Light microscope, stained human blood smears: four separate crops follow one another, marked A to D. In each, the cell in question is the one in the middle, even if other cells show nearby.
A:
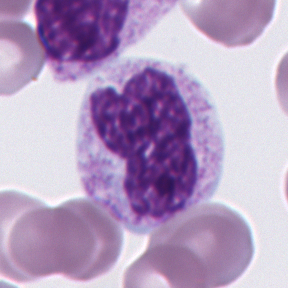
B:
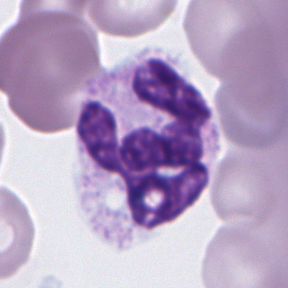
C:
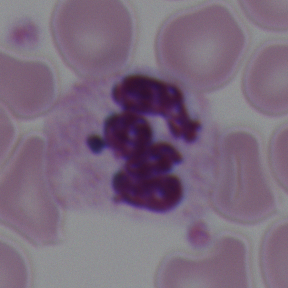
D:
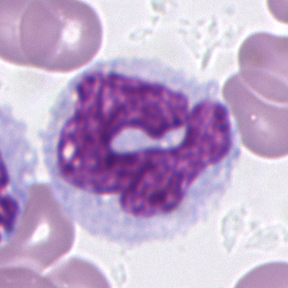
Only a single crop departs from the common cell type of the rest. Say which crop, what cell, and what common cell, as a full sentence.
Crop D stands apart as a monocyte, whereas the remaining crops all show segmented neutrophils.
